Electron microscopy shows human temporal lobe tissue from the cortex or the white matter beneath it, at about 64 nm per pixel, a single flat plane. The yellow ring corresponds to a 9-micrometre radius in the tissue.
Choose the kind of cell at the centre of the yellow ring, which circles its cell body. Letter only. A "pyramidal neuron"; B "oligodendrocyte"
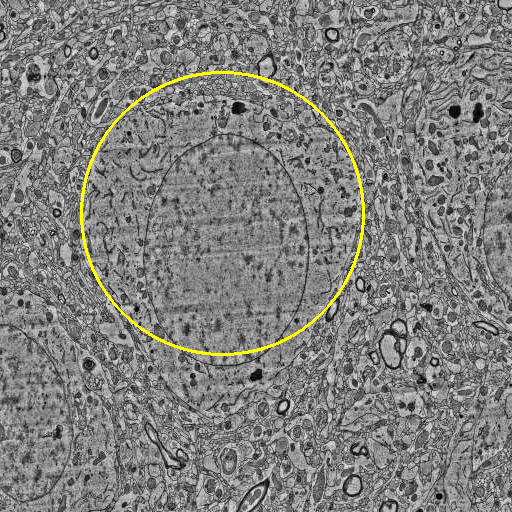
A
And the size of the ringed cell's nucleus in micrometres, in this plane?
The nucleus works out at approximately 15 by 11 micrometres in this plane.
